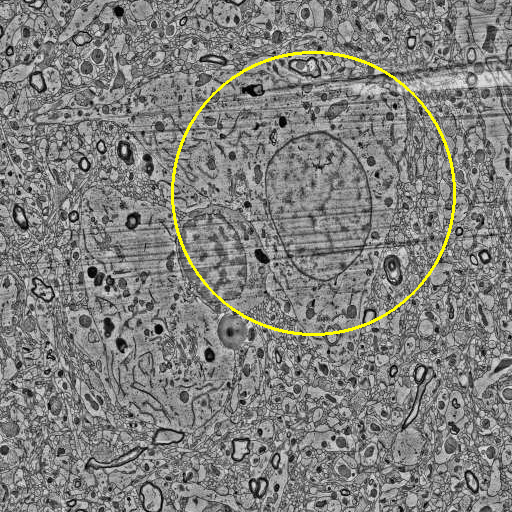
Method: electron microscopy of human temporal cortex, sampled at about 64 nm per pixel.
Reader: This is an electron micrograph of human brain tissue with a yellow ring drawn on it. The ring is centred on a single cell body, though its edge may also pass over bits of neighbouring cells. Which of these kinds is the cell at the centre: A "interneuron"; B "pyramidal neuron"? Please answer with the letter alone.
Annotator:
B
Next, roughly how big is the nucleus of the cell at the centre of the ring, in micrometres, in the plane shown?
Roughly 10 by 7 micrometres in this plane, for the nucleus of the ringed cell.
